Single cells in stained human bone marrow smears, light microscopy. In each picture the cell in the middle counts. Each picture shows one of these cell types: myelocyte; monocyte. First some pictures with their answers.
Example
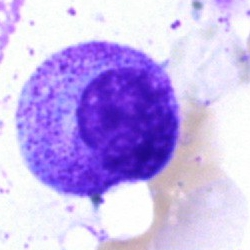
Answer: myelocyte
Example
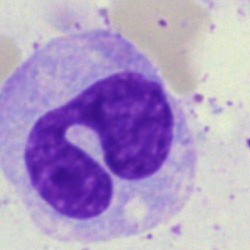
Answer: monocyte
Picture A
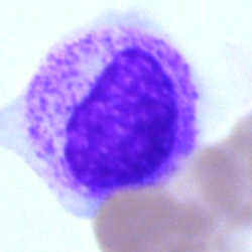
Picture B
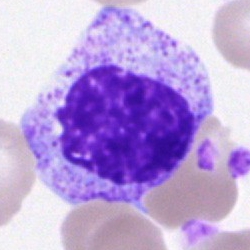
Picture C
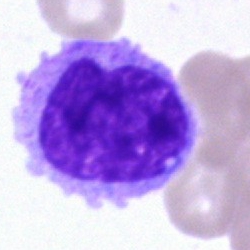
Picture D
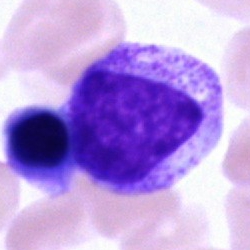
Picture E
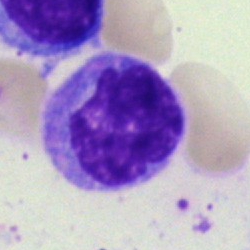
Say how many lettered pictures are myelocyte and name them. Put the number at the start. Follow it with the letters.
Count: 3 (A, B, D)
